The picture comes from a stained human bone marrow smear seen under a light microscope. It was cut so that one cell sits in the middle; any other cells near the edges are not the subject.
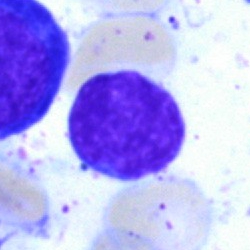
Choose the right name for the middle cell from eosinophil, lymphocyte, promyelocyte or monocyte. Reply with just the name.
lymphocyte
